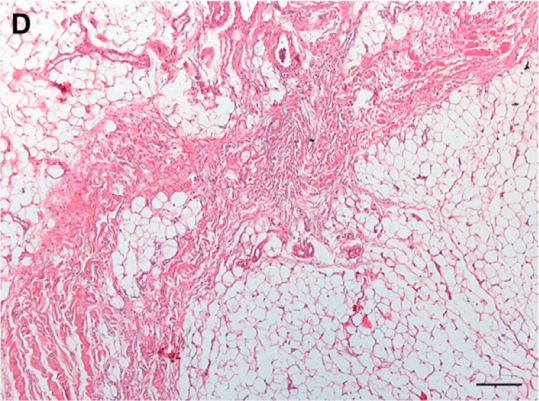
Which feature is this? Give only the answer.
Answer: Thick septa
